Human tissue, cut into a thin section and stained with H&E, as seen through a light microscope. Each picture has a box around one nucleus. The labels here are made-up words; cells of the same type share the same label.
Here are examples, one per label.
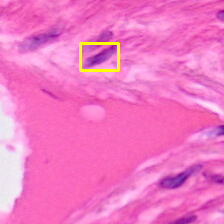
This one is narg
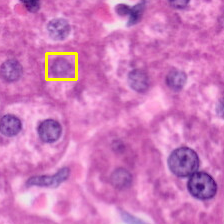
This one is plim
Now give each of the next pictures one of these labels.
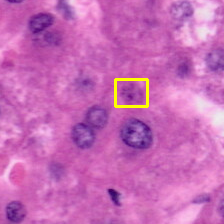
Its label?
plim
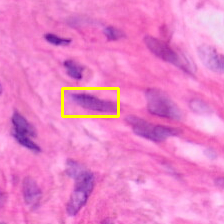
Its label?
narg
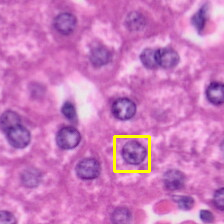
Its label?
plim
